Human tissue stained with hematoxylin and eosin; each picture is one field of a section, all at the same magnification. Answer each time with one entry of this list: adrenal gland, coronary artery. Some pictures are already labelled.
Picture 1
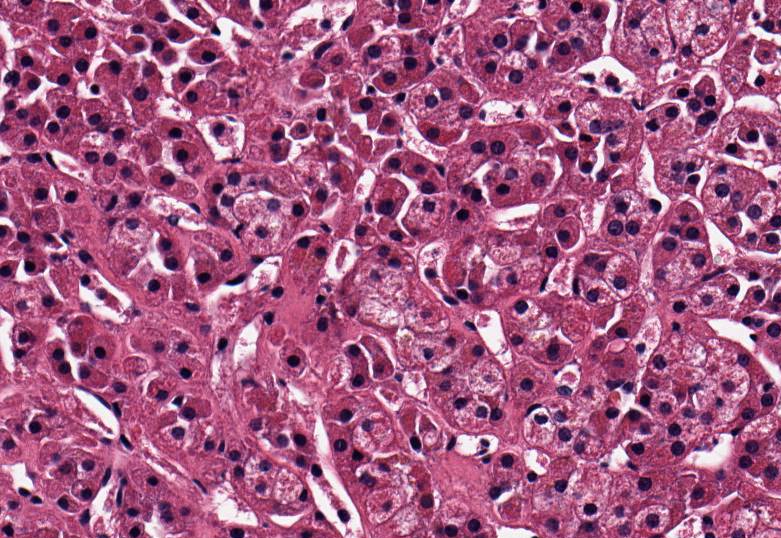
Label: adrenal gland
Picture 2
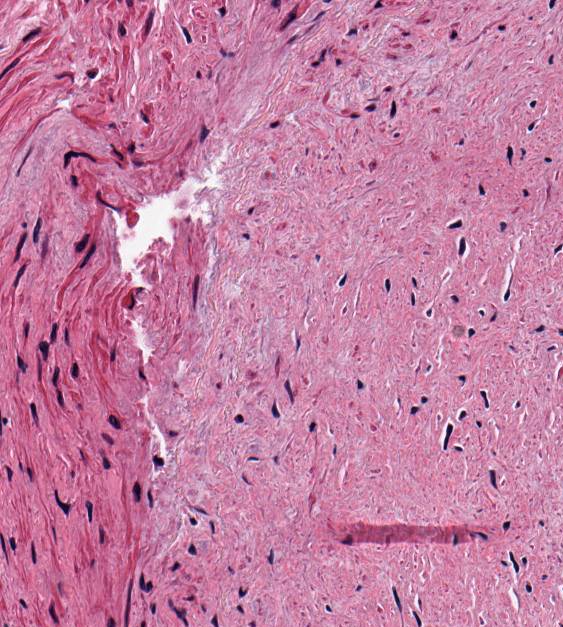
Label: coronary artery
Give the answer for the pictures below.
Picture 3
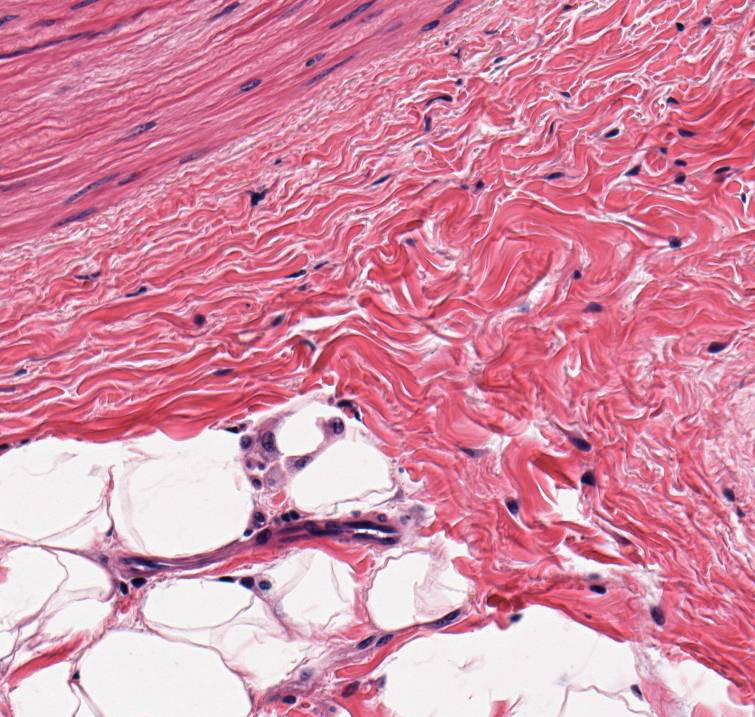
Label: coronary artery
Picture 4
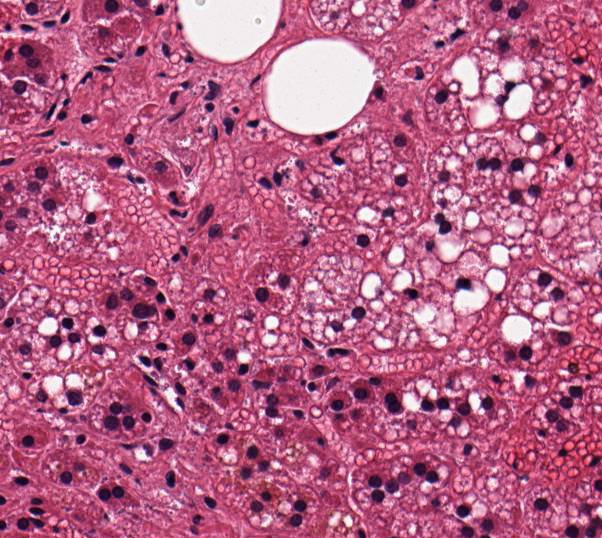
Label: adrenal gland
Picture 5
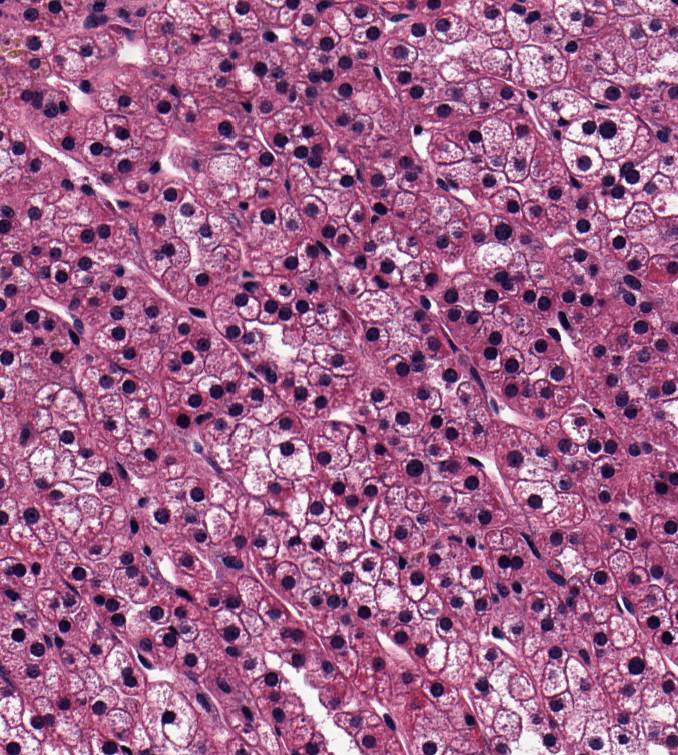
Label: adrenal gland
